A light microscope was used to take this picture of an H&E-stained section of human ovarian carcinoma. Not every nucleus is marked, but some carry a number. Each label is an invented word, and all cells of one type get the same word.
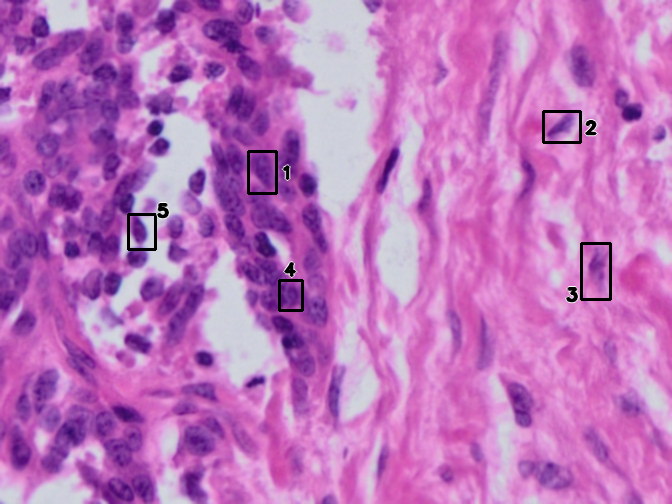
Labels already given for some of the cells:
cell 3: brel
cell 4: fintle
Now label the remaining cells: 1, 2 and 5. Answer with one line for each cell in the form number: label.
1: fintle
2: brel
5: fintle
